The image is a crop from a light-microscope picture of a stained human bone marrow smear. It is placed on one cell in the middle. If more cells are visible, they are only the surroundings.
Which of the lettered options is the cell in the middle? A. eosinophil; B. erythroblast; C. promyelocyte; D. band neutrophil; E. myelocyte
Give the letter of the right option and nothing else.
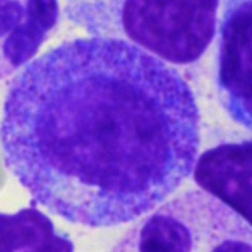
C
